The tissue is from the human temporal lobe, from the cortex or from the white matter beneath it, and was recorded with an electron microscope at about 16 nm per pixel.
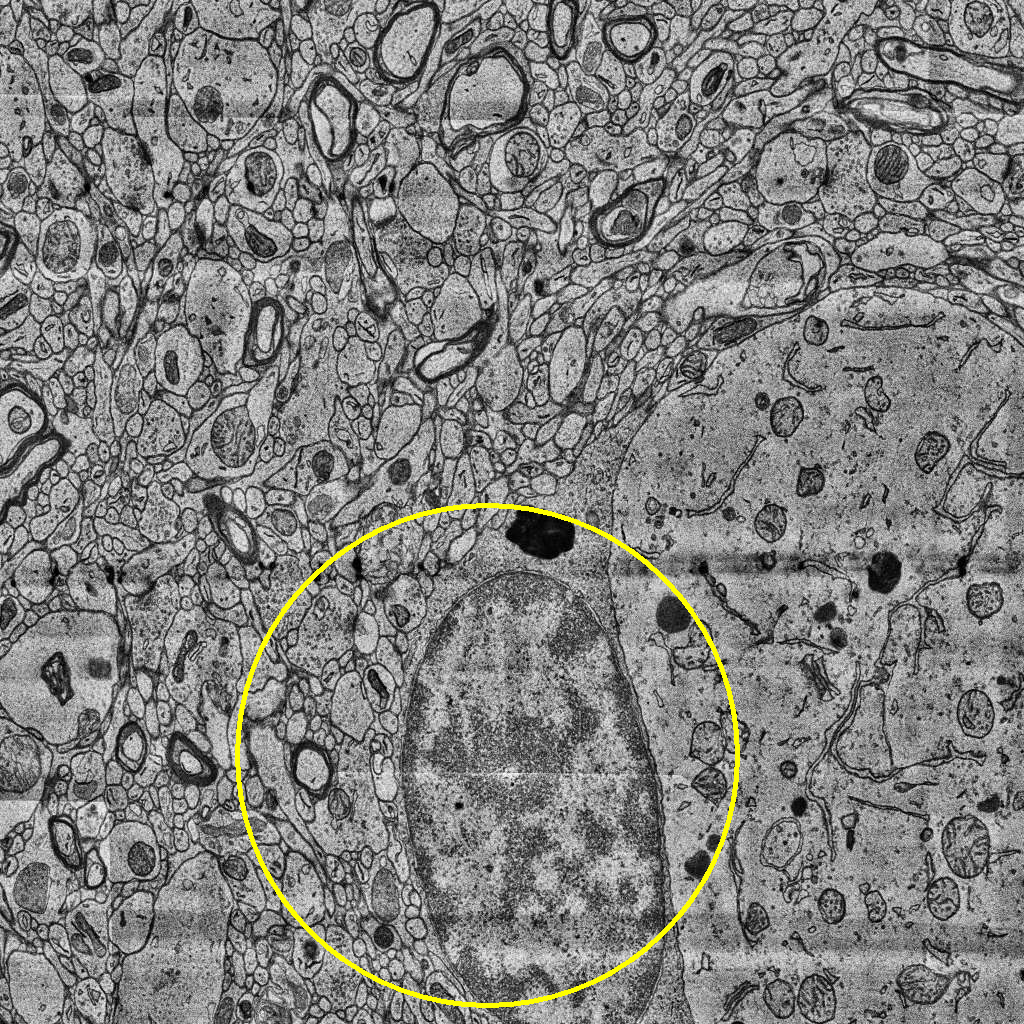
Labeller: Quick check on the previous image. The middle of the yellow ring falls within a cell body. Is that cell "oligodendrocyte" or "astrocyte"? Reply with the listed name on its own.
oligodendrocyte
